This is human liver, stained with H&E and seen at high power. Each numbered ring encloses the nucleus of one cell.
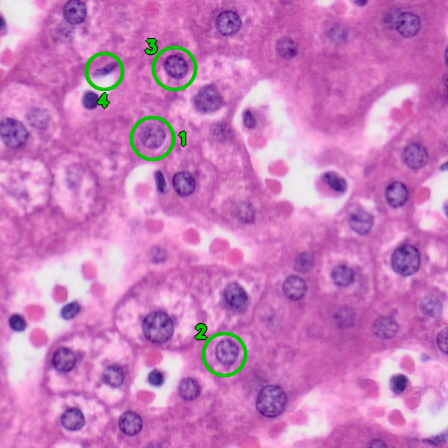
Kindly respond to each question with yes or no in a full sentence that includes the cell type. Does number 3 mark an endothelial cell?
No, the cell labelled number 3 is not an endothelial cell; it is a hepatocyte.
